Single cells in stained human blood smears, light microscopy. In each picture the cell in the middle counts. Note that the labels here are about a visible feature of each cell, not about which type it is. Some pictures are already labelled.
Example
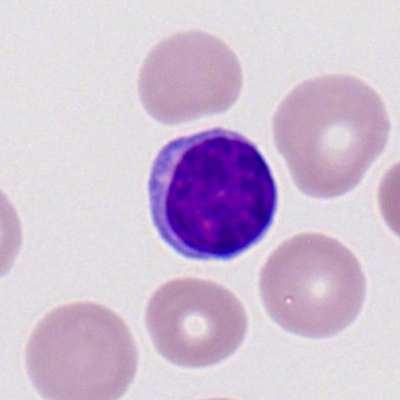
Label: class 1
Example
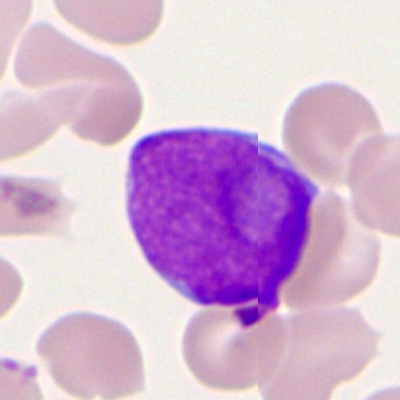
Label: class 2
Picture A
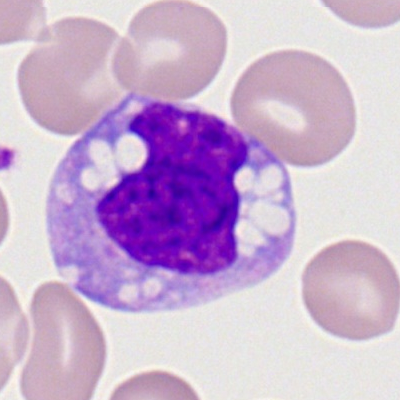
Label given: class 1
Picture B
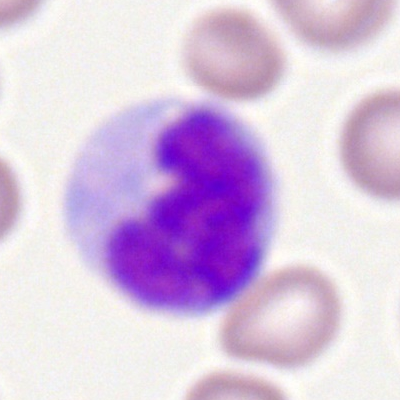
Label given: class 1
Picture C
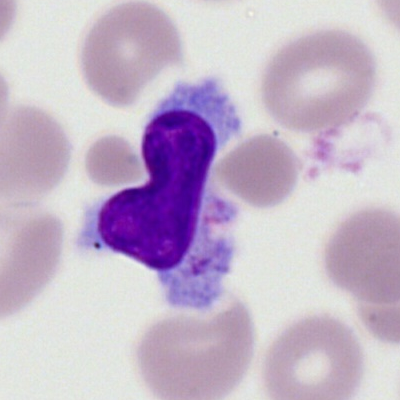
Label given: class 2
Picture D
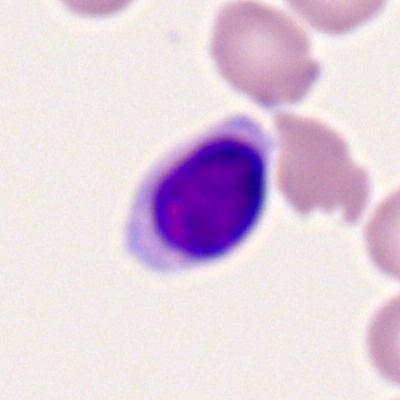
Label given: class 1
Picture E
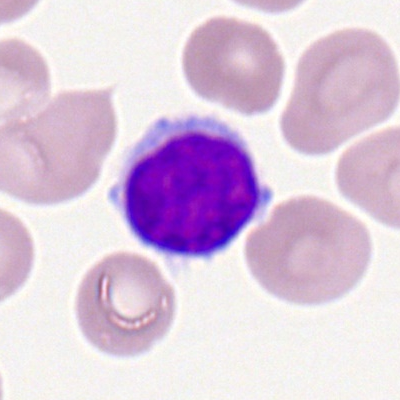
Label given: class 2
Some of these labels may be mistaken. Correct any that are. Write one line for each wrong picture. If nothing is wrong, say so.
None of the labels needs changing.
